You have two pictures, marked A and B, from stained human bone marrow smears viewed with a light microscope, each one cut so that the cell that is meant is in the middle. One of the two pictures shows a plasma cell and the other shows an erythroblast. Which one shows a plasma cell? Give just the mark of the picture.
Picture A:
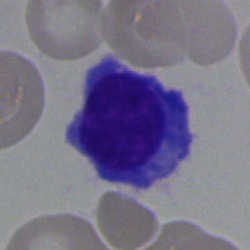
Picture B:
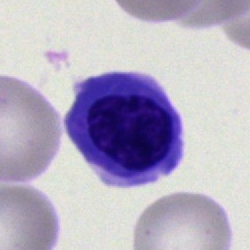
A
